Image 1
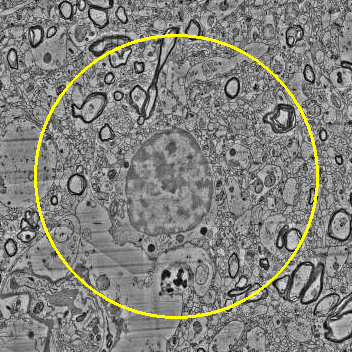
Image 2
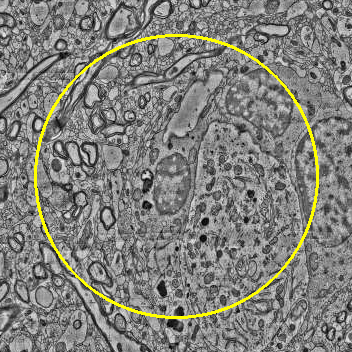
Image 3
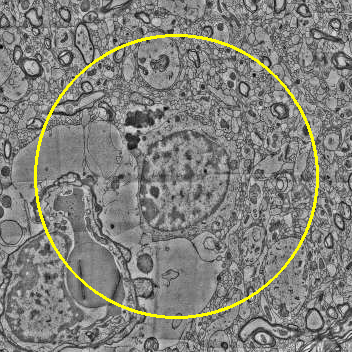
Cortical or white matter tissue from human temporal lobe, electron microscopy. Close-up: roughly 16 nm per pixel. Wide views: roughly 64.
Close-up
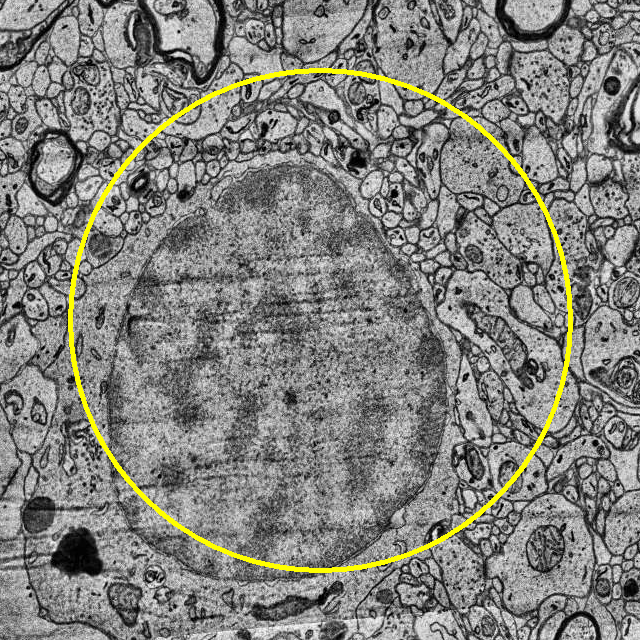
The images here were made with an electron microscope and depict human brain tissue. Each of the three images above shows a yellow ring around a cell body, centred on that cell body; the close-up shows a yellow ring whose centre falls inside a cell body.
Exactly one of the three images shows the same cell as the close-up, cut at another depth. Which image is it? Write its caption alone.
Image 1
